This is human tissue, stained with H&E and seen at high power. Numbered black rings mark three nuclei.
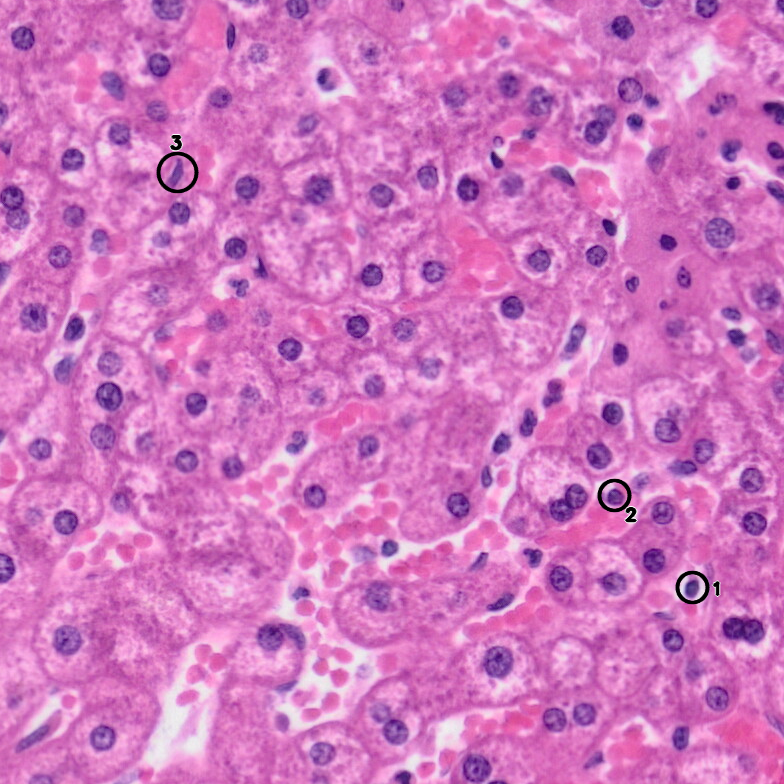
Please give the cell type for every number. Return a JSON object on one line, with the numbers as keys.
{"1": "lymphocyte", "2": "lymphocyte", "3": "fibroblast or stellate cell"}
